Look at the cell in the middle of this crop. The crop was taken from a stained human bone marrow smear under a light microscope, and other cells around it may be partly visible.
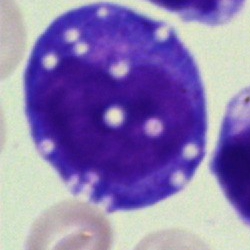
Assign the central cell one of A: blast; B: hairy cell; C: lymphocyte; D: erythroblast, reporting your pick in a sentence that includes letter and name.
The centrally positioned cell is a blast, consistent with option A, which is correct.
